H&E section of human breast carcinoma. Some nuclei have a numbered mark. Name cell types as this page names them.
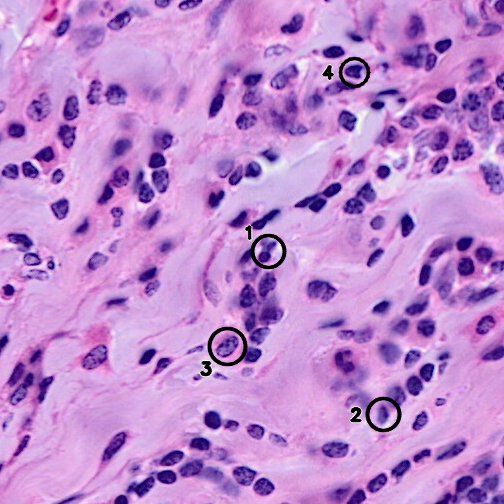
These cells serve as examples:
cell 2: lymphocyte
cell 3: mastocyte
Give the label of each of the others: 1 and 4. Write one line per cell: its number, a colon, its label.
1: lymphocyte
4: lymphocyte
